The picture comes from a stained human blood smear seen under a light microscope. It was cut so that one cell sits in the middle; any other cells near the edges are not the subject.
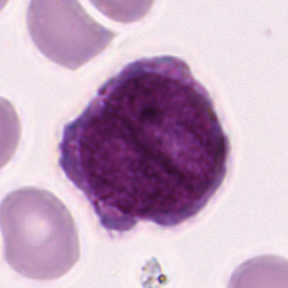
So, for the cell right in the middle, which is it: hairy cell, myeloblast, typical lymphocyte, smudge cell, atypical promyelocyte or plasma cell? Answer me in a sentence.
As for the central cell, it is an atypical promyelocyte.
